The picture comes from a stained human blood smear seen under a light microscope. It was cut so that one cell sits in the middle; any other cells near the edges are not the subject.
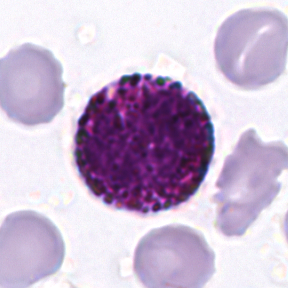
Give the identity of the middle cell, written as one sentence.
The cell at the central position in this crop is a basophil.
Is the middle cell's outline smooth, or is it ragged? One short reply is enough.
Its outline is smooth, with no projections anywhere along the edge.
